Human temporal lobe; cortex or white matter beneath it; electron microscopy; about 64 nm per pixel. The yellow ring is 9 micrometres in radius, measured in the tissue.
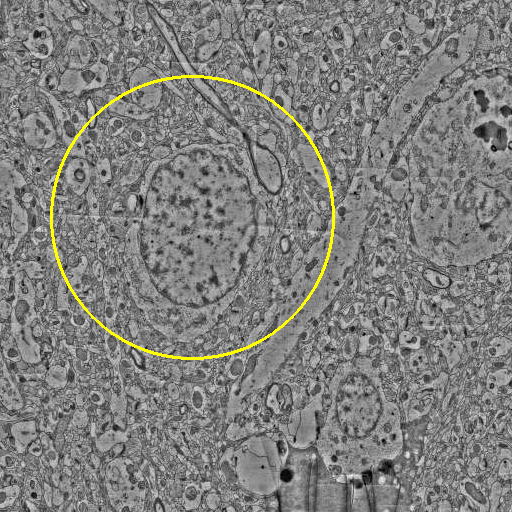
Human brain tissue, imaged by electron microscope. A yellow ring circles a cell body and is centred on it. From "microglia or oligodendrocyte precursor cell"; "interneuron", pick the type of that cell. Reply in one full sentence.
The cell body at the centre of the yellow ring belongs to an interneuron.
